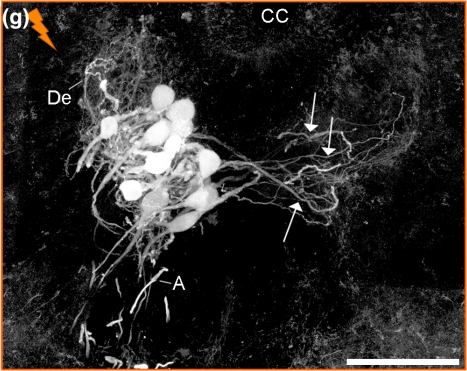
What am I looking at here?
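Roughly a dozen or two large, rounded cell bodies are clustered together, fewer than in a dense nucleus. Dendrites leave the group in several directions; some run upward and laterally, while a bundle of slender, wavy dendrites extends across toward the opposite side beyond the midline. Short axon fragments are visible below the cluster. The surrounding neuropil is faintly textured and the processes are sparse enough to follow individually.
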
